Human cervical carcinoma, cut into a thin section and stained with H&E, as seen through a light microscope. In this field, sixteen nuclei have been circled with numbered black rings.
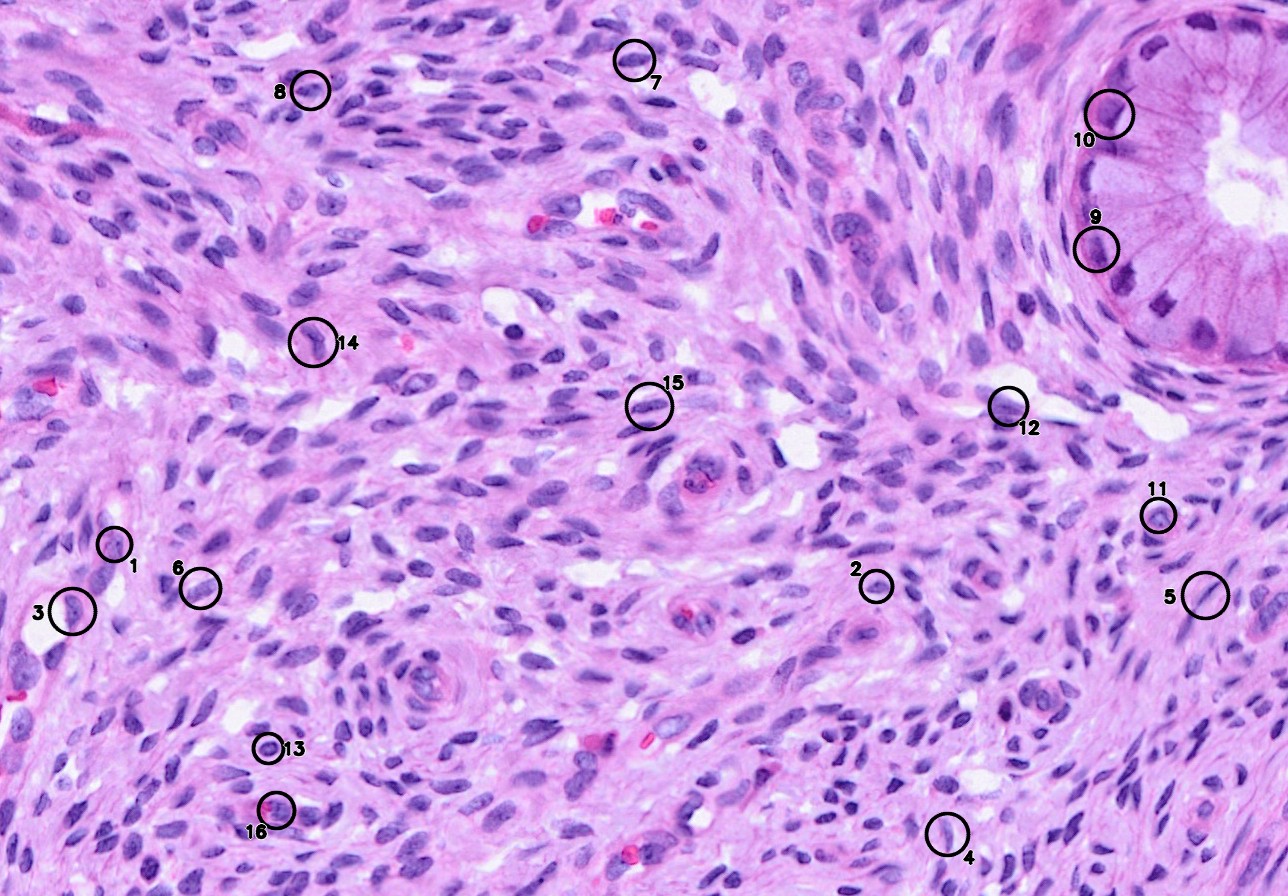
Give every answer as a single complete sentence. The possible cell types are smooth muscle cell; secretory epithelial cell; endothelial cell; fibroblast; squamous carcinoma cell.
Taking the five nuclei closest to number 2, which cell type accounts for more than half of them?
Fibroblasts make up most of the five nuclei closest to number 2.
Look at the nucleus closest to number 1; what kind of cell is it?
The nearest nucleus to number 1 belongs to an endothelial cell.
